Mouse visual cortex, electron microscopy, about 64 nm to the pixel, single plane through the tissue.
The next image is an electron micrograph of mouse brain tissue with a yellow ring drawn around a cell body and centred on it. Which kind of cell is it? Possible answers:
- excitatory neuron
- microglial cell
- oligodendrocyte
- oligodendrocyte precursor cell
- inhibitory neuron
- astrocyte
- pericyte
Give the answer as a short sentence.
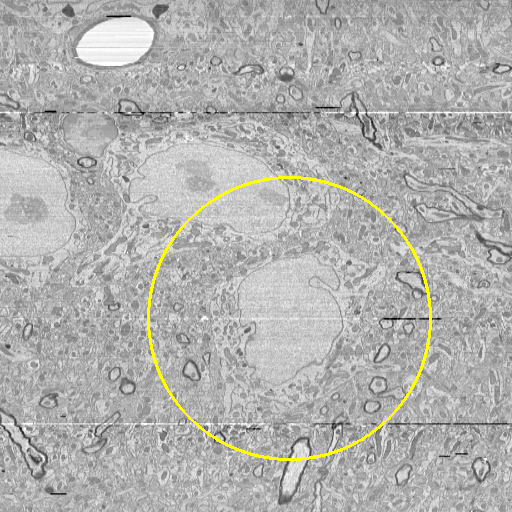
In the ring's centre is an inhibitory neuron.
